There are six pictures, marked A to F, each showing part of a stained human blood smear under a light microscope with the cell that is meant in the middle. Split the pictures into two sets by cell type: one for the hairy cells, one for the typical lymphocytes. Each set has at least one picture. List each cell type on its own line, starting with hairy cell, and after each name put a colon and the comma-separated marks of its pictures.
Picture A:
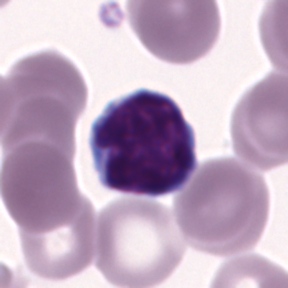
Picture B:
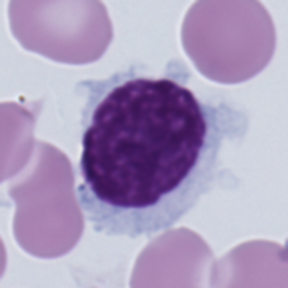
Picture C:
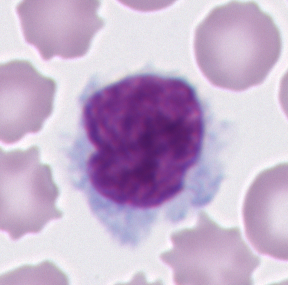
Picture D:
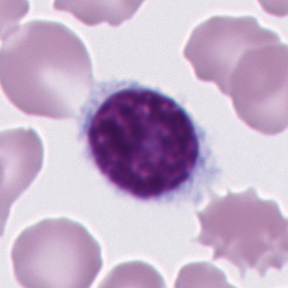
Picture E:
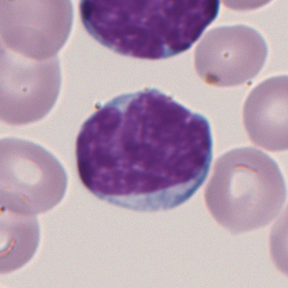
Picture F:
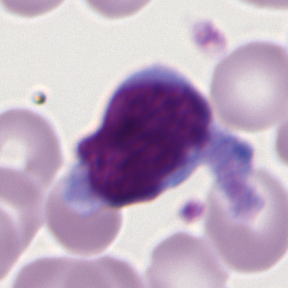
hairy cell: B, C, D
typical lymphocyte: A, E, F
